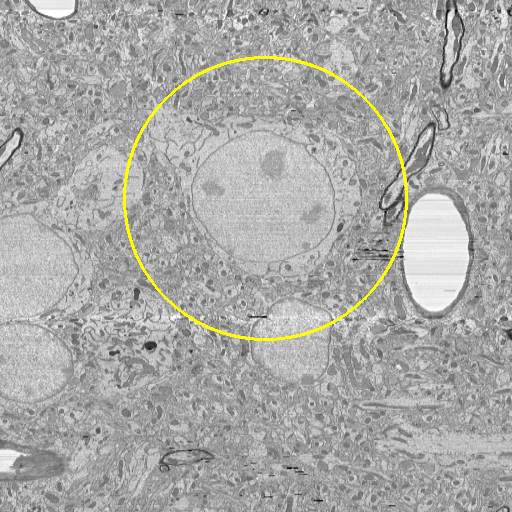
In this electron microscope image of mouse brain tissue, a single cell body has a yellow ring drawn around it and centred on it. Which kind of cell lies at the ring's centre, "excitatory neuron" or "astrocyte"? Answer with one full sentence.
It is an excitatory neuron whose cell body lies at the centre of the yellow ring here.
